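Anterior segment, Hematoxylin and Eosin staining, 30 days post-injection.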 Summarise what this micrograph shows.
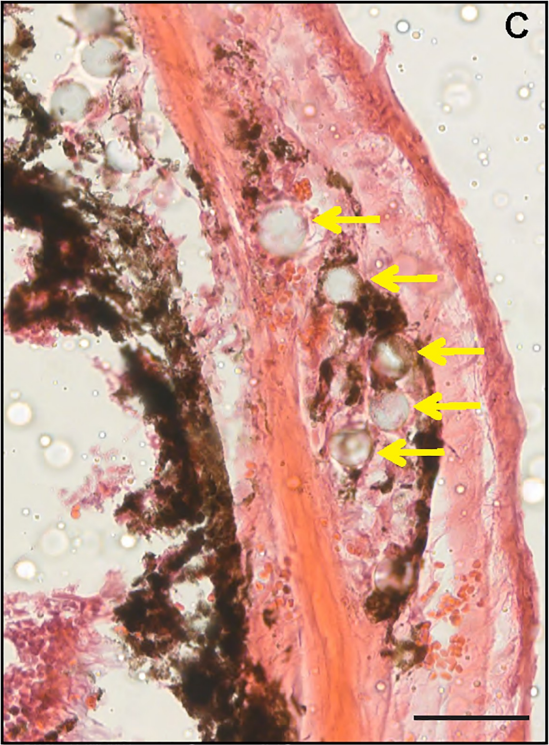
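Within a channel in this band lies a chain of round, clear, glassy microbeads, packed together with brown pigment granules and small orange-red bodies, so that the lumen of Schlemm's canal is filled and occluded. More clear spheres of the same kind are scattered in the background outside the tissue.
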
